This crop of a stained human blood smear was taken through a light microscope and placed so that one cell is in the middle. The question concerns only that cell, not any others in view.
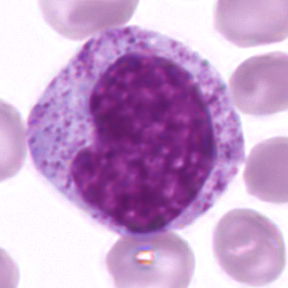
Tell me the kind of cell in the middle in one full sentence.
The crop's centre is taken up by a myelocyte.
